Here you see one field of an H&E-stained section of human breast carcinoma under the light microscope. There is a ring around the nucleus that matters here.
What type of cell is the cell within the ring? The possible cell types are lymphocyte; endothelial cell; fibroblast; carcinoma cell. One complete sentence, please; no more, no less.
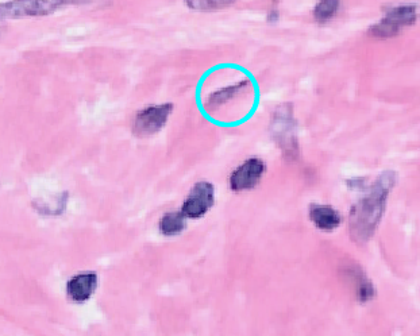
In this section of tissue, the cell within the ring is a fibroblast.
